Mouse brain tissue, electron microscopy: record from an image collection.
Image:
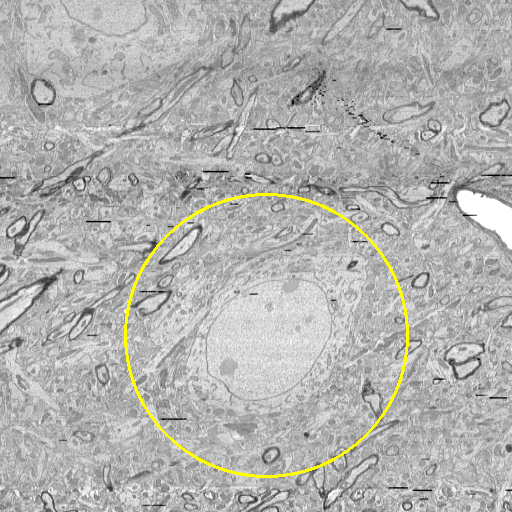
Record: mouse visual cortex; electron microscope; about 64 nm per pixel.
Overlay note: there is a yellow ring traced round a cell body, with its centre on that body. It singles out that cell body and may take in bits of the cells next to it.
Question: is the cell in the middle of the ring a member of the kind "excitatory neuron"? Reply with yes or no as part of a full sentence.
Yes, the image's ringed cell, the one at the ring's centre, is a member of that kind.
